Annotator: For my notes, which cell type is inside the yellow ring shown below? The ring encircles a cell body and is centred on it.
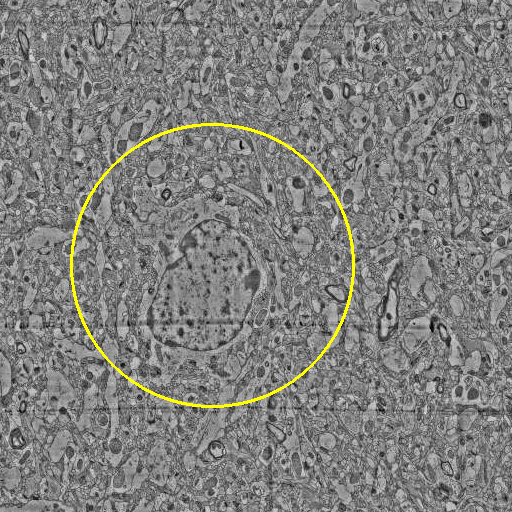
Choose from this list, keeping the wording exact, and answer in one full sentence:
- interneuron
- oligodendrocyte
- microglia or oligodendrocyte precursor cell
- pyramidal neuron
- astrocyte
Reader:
At the centre of the yellow ring there is a microglial cell or oligodendrocyte precursor cell, as shown in the picture.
